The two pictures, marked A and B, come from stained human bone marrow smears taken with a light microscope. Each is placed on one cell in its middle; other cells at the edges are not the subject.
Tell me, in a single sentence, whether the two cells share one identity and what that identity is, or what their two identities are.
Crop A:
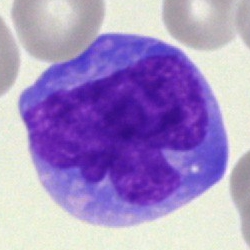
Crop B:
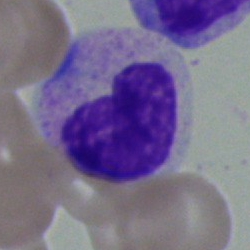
No, the correct reading is a monocyte in crop A and a metamyelocyte in crop B.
